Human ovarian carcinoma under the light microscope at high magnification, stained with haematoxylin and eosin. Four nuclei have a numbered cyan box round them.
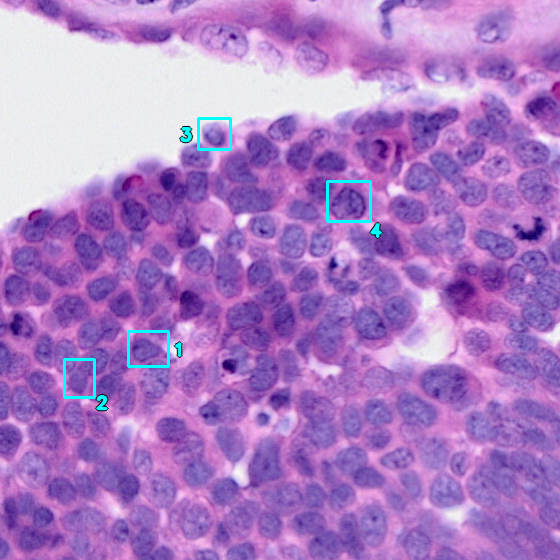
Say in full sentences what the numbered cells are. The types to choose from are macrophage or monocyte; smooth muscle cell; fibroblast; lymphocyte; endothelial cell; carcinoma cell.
Cell 1 is a carcinoma cell, cell 2 is a carcinoma cell, cell 3 is a macrophage or monocyte and cell 4 is a carcinoma cell.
